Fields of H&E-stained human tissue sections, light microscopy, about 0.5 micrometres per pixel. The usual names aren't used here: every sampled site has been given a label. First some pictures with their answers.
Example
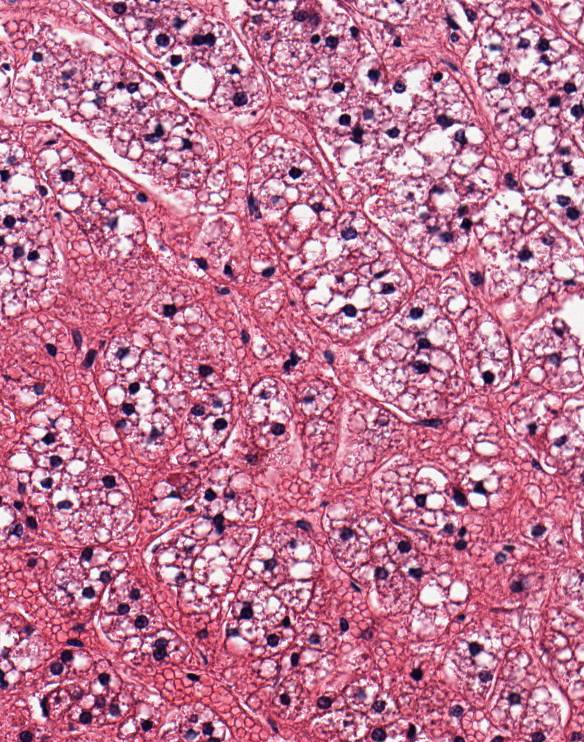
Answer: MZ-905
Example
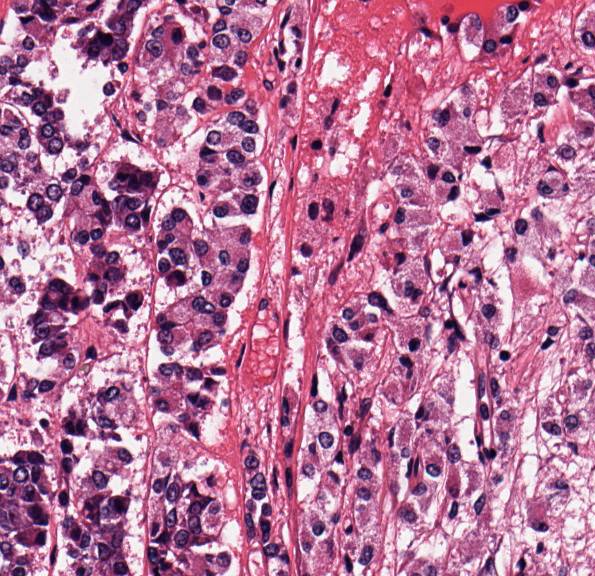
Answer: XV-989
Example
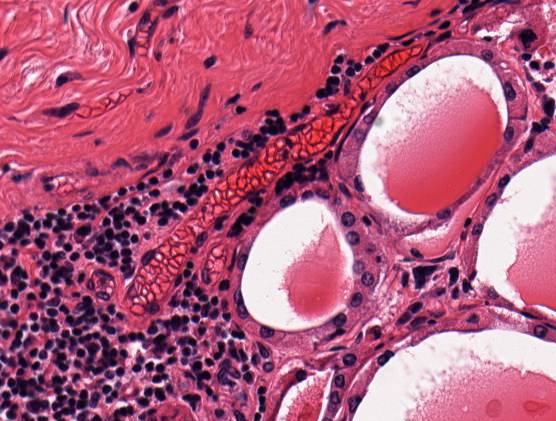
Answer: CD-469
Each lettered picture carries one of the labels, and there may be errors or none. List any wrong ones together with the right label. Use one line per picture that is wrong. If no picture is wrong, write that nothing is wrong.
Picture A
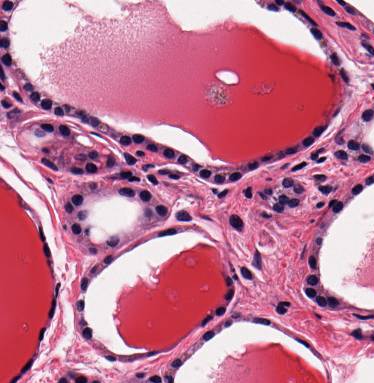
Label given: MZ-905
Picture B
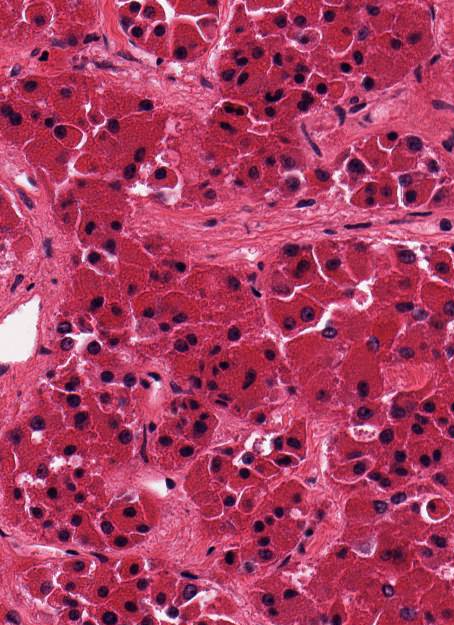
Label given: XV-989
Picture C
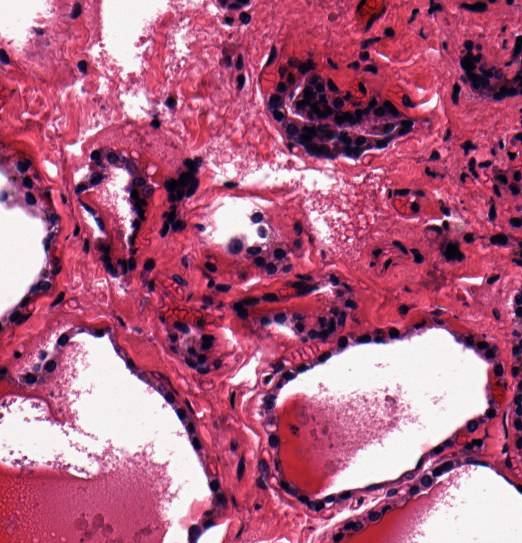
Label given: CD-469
A is labelled MZ-905; correct label: CD-469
